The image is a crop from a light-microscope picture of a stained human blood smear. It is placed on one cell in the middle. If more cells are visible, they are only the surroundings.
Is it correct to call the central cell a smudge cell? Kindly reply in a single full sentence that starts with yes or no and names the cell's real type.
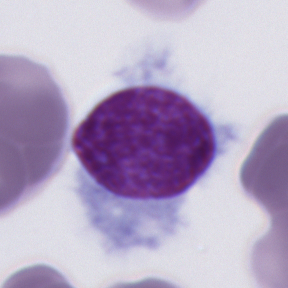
No, the cell sitting in the centre of the crop is a hairy cell, not a smudge cell.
